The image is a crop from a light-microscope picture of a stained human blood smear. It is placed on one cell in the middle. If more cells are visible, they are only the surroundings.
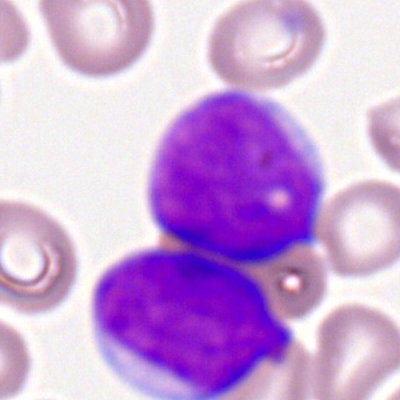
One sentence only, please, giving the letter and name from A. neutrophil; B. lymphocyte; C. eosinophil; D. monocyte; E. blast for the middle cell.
In this crop the central cell is a blast, which option E correctly states.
